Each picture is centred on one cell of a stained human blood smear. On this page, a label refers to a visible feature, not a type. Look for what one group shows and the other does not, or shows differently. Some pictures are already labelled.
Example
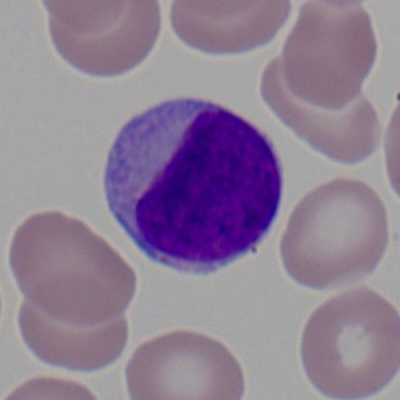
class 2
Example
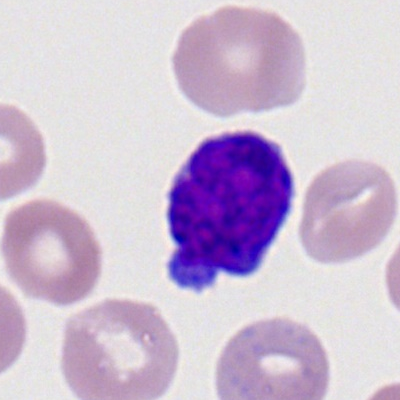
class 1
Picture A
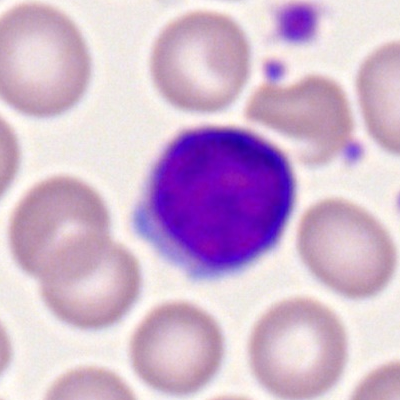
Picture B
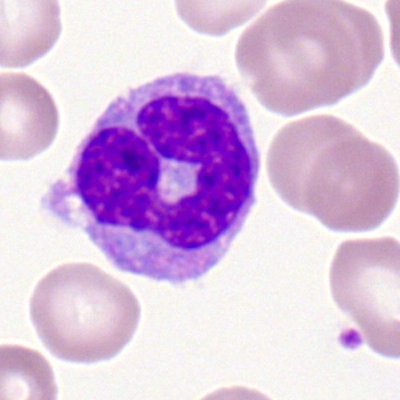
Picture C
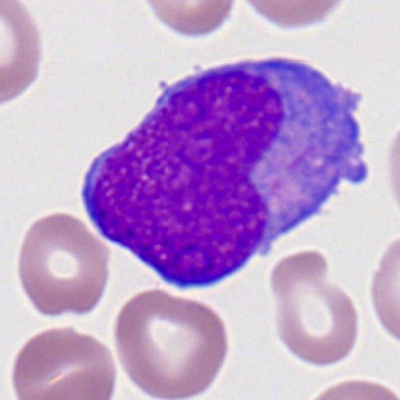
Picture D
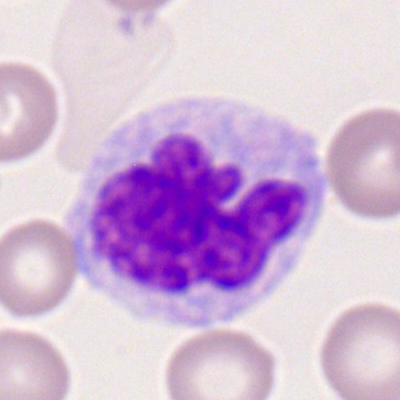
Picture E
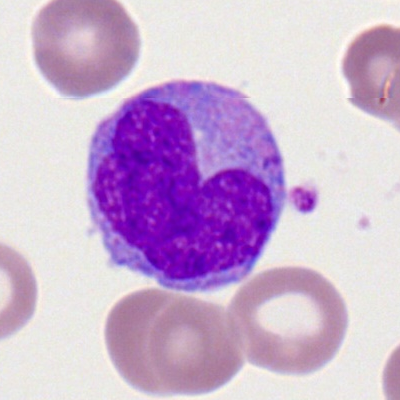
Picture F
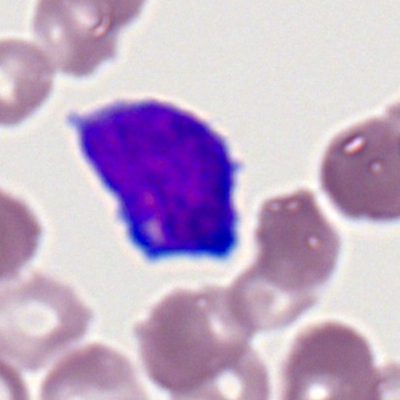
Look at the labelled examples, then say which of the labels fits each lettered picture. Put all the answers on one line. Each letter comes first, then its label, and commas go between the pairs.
A class 2, B class 1, C class 1, D class 2, E class 2, F class 1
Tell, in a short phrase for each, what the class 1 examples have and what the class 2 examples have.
class 1, ragged outline or projections; class 2, smooth outline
